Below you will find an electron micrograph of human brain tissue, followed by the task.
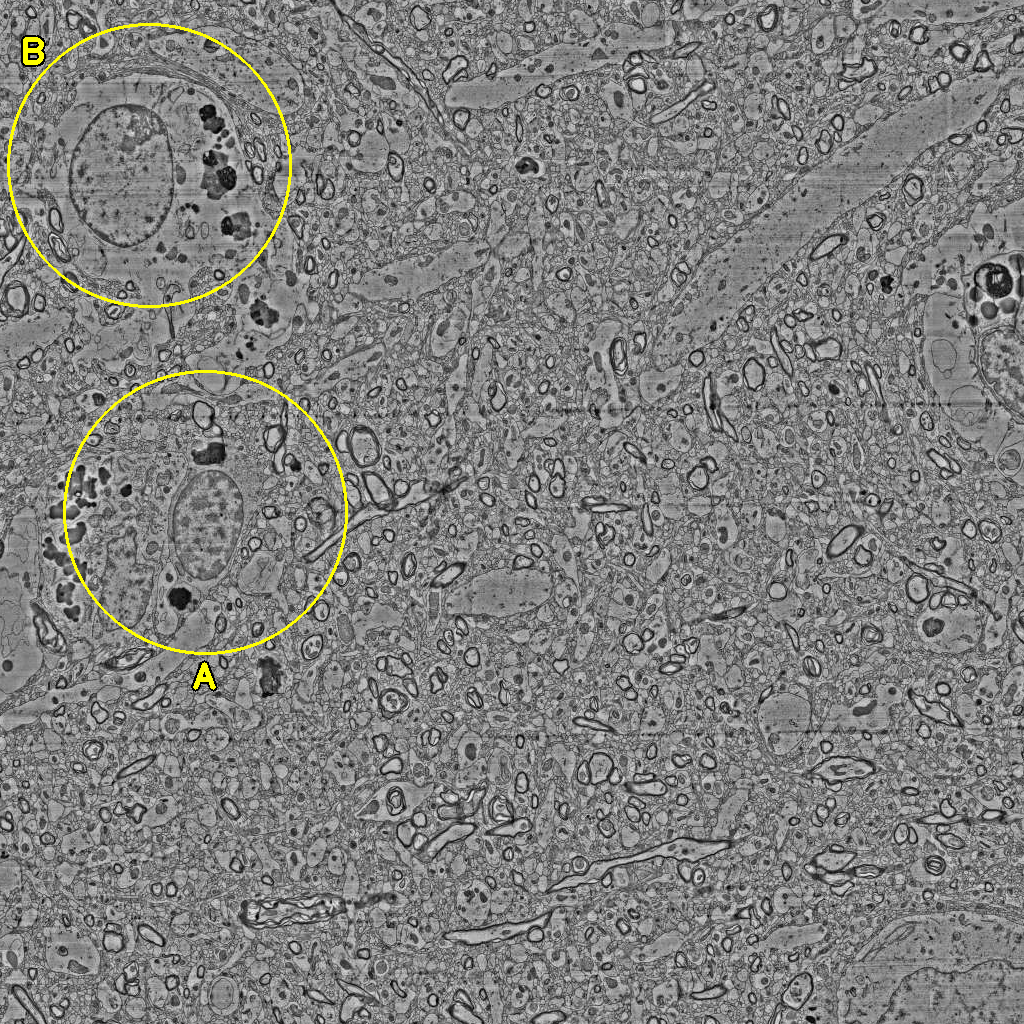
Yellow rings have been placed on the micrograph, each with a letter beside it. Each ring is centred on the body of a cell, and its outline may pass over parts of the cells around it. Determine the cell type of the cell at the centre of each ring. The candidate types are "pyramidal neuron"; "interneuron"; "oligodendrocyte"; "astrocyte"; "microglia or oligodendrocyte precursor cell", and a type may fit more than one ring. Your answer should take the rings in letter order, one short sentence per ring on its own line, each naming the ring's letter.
The centre of ring A falls on an oligodendrocyte.
The centre of ring B falls on an astrocyte.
